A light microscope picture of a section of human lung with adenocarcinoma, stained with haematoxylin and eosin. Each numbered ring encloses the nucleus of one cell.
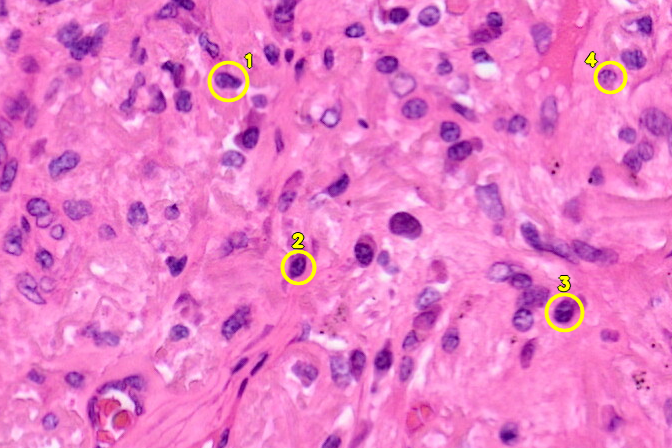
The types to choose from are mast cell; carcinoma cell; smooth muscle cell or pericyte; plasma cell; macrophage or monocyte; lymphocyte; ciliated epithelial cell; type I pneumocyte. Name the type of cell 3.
plasma cell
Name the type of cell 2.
plasma cell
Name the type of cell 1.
lymphocyte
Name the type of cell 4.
mast cell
